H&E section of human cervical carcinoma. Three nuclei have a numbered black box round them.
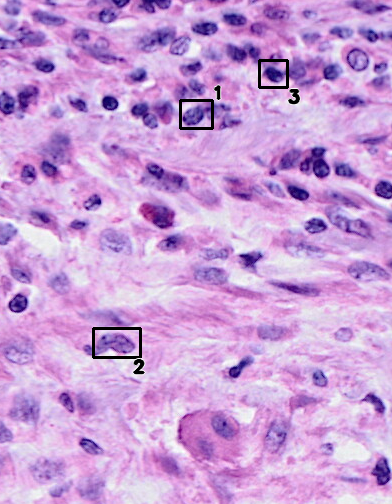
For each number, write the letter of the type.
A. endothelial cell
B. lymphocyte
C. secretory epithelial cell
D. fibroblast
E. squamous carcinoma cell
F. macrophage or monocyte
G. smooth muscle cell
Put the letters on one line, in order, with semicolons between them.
B; F; B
